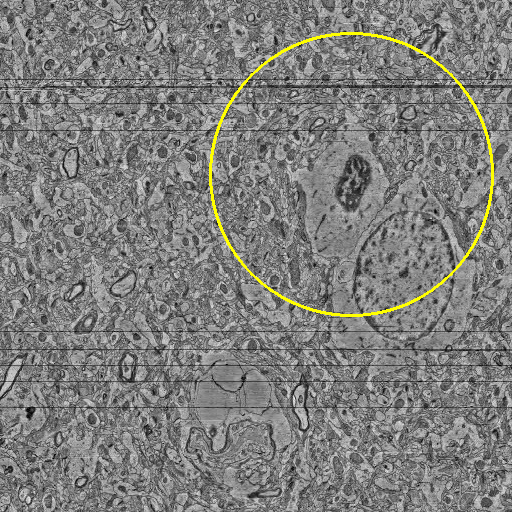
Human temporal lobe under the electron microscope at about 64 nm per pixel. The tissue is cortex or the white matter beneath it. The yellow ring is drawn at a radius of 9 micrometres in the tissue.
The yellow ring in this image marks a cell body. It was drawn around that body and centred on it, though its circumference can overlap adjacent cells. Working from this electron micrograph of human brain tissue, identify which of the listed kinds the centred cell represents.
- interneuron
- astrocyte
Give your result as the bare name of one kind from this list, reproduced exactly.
astrocyte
